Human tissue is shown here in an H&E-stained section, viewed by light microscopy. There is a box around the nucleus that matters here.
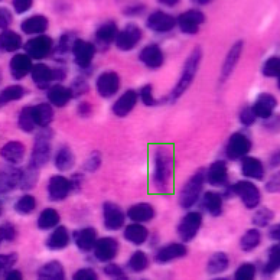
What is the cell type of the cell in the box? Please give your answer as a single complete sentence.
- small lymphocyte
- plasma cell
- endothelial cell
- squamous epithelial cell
As far as its identity is concerned, the cell in the box is an endothelial cell.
